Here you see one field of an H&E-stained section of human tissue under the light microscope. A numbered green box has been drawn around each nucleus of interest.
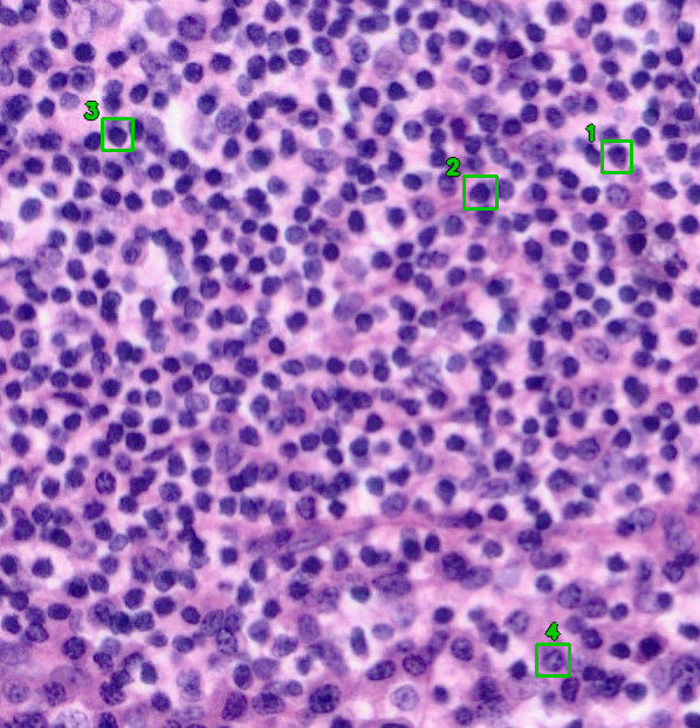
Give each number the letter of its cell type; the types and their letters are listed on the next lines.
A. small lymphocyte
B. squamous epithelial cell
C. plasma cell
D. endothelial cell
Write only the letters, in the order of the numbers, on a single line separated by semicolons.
A; A; A; C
